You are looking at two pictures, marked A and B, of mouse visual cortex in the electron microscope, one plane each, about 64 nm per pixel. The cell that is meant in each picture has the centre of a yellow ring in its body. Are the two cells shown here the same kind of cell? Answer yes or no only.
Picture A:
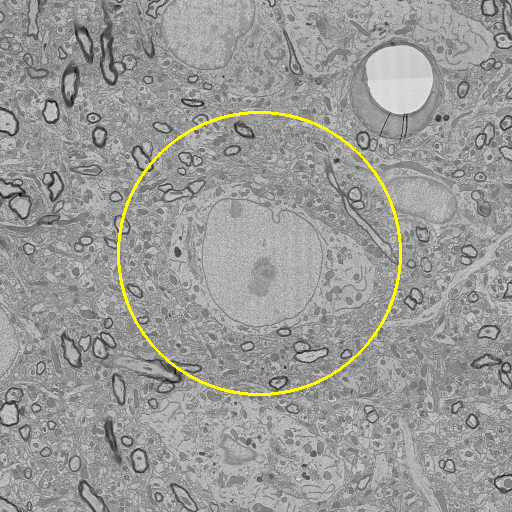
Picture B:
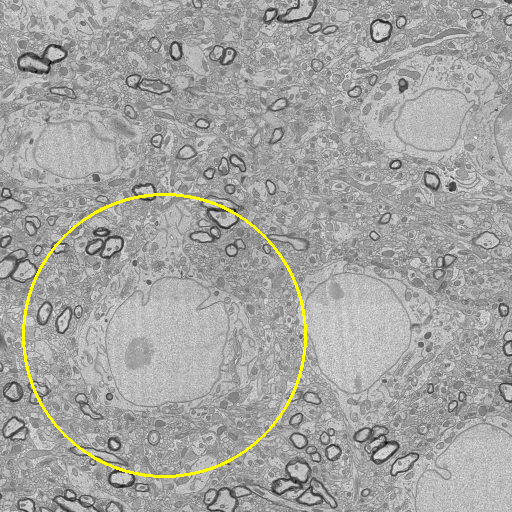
yes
